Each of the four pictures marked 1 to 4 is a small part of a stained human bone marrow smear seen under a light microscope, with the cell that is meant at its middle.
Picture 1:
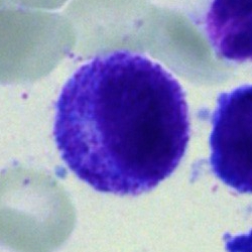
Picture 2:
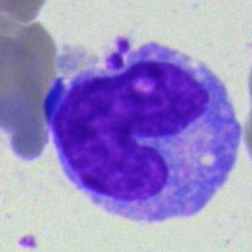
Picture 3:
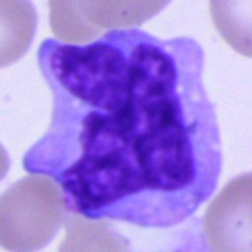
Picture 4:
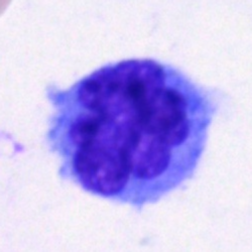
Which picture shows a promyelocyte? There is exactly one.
1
